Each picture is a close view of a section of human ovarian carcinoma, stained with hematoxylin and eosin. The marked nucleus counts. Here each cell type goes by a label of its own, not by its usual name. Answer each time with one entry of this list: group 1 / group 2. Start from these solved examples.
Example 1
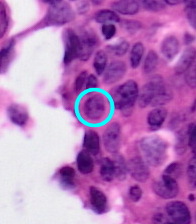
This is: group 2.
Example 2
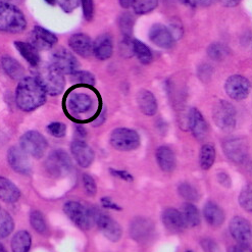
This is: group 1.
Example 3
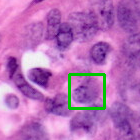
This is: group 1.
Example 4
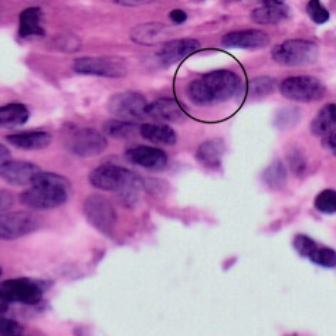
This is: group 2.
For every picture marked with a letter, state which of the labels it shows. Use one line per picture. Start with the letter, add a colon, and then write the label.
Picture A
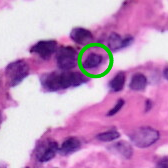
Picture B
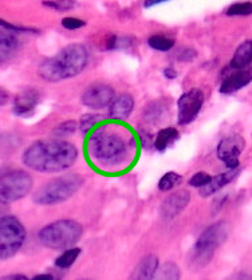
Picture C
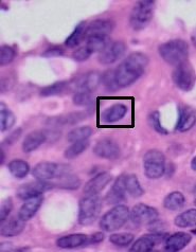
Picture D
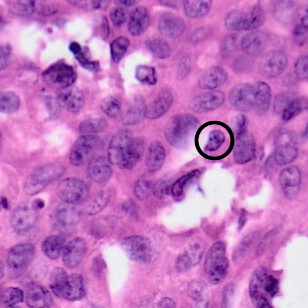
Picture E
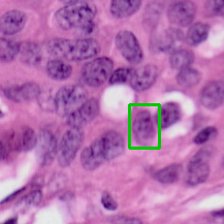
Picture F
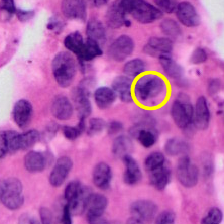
A: group 1.
B: group 2.
C: group 1.
D: group 1.
E: group 2.
F: group 2.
